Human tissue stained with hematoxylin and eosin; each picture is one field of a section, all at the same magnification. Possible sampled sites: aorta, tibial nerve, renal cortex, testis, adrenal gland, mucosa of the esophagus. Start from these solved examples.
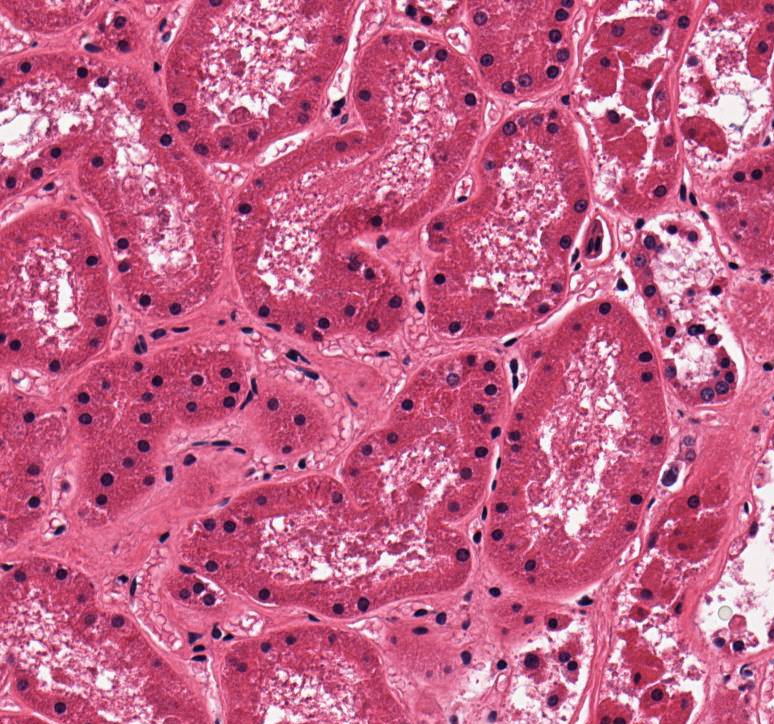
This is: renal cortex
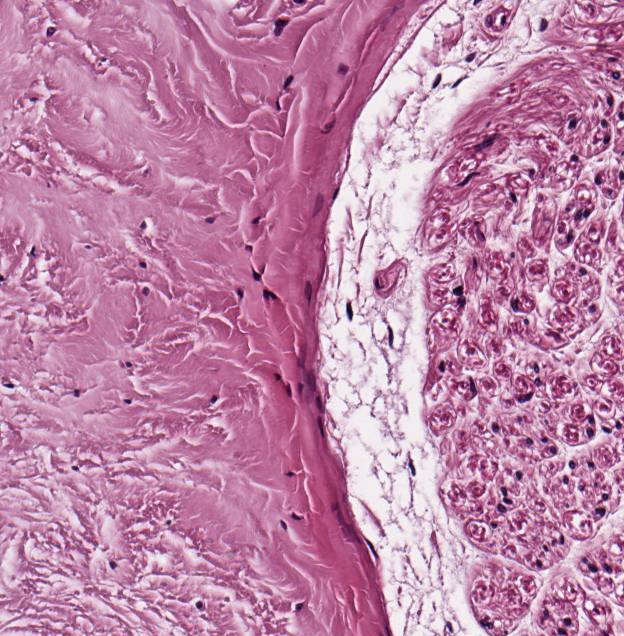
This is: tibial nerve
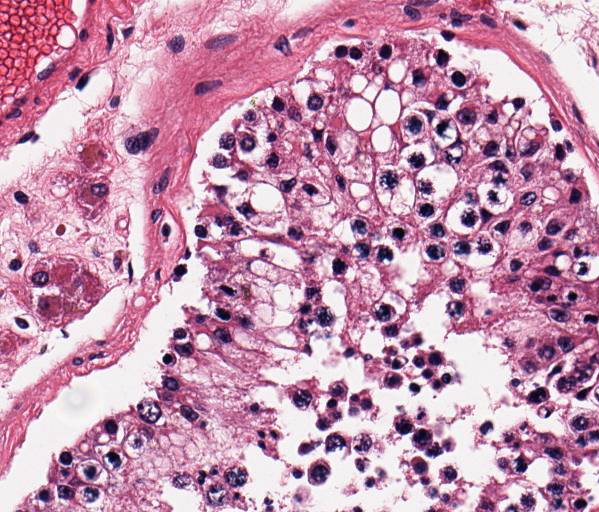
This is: testis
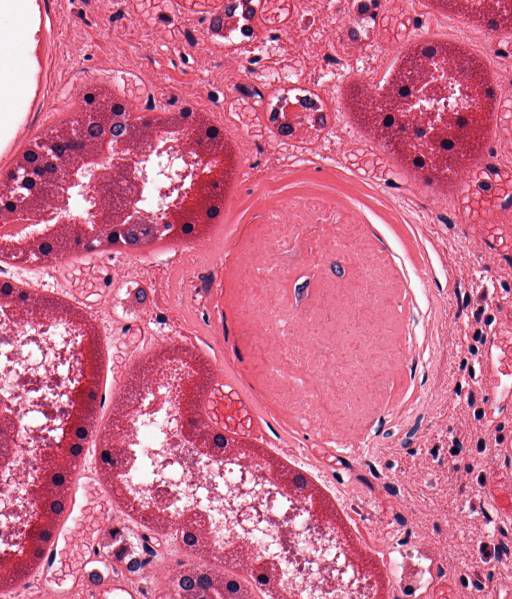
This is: renal cortex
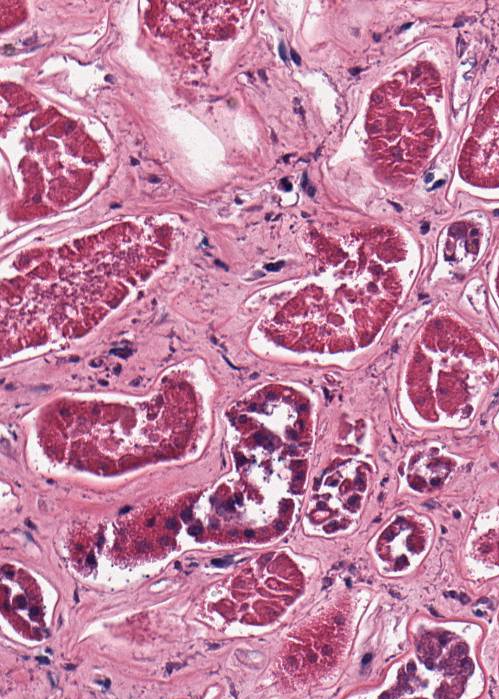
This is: renal cortex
